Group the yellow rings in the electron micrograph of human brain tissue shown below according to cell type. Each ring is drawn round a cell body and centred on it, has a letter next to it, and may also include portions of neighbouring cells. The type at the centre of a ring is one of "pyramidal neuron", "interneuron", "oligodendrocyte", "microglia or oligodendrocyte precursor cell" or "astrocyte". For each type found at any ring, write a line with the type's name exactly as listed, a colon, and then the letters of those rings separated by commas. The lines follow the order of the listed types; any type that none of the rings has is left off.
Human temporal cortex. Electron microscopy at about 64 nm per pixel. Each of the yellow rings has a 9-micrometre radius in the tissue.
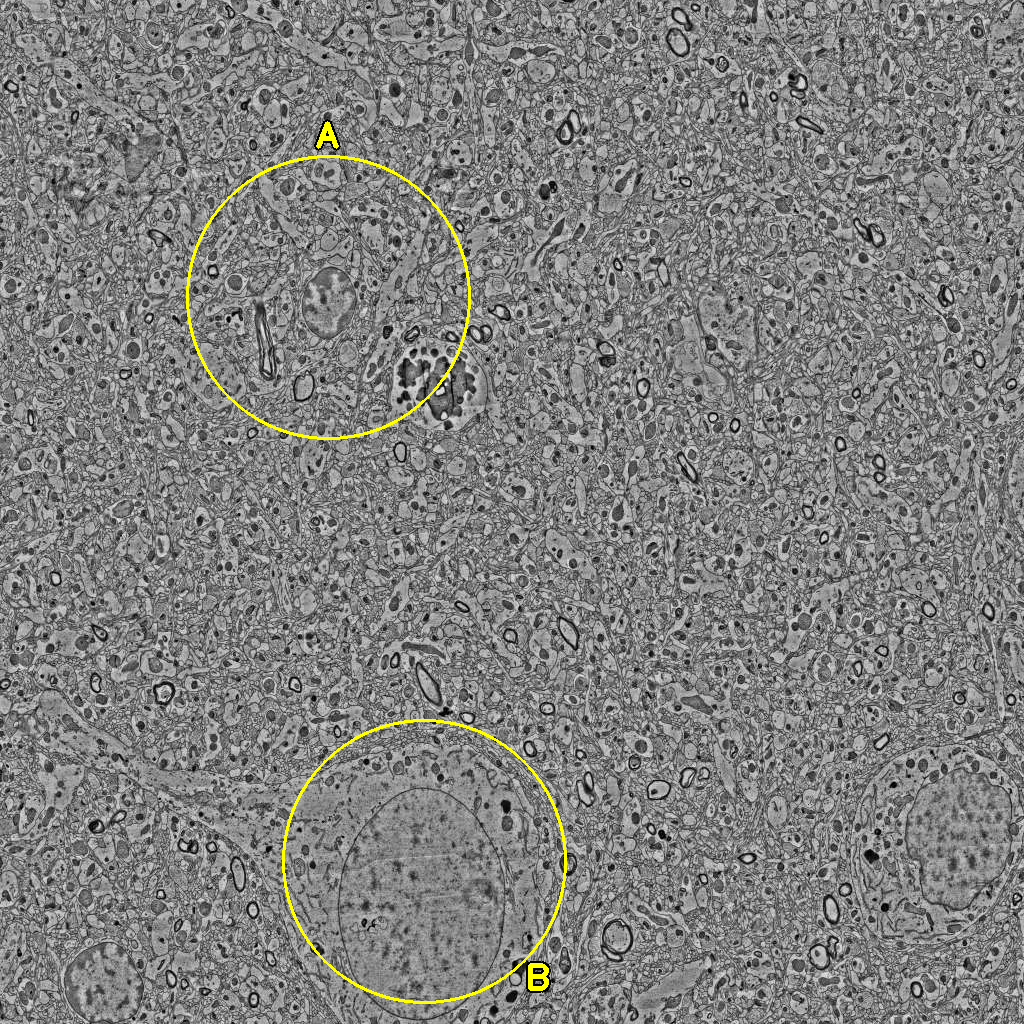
pyramidal neuron: B
microglia or oligodendrocyte precursor cell: A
